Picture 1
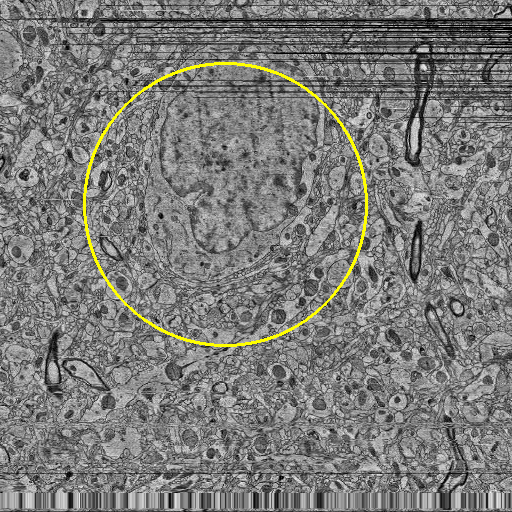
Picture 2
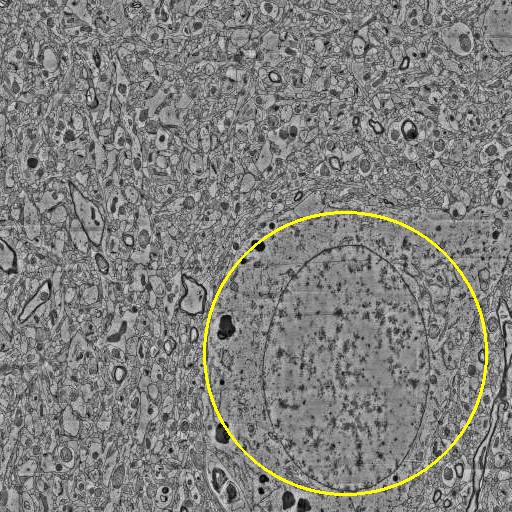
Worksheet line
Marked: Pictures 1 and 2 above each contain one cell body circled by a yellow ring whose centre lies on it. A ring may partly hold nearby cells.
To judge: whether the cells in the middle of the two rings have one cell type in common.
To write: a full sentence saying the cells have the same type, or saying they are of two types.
The cells in the middle of the rings in Picture 1 and Picture 2 are of two types.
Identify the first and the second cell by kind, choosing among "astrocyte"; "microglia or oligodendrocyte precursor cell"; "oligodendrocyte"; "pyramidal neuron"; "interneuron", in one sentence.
The one in the first picture is an interneuron, while the one in the second is a pyramidal neuron.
